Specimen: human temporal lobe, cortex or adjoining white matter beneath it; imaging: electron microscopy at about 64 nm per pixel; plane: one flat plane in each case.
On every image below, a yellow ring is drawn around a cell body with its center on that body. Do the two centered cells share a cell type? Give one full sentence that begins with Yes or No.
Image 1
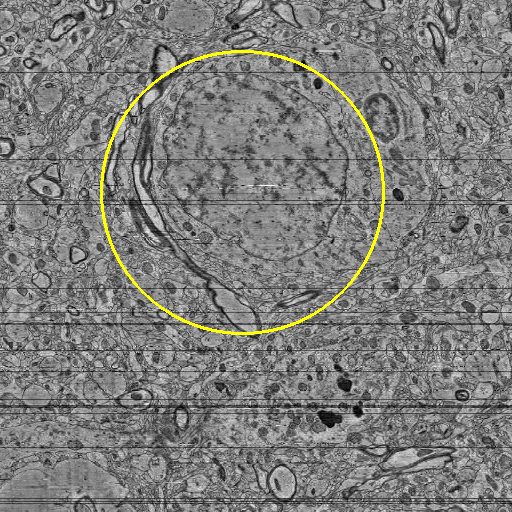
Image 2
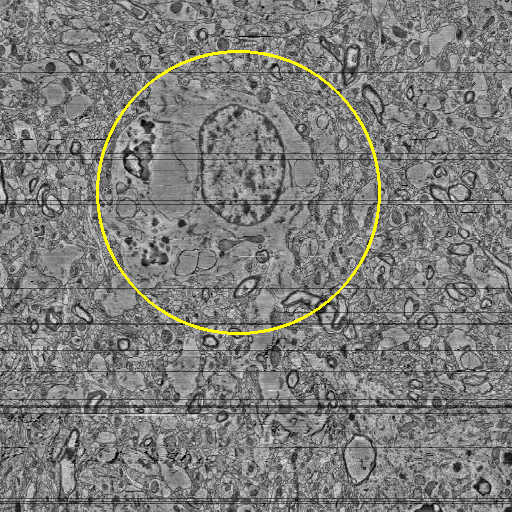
No, the centered cells in the two images are of two separate cell types.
